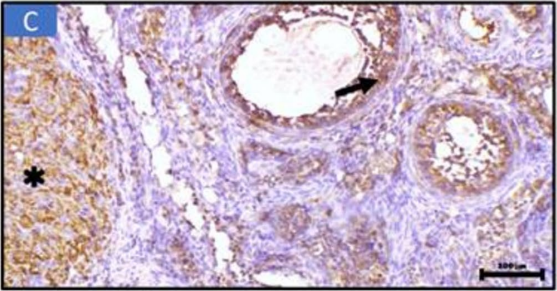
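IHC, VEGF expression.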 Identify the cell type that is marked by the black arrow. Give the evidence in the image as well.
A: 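Follicular cells. The arrow points to the cell layer lining a round structure with a pale central cavity. The lining cells are stacked several deep and stained brown. A thin layer of flattened cells surrounds this lining.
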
